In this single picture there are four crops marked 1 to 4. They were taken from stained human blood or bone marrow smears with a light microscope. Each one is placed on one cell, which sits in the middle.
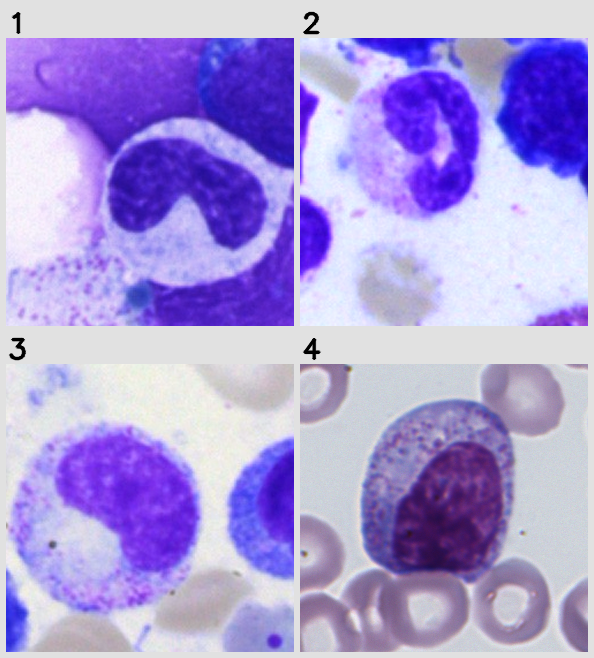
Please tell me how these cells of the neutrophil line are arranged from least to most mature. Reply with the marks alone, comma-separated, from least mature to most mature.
4, 3, 1, 2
